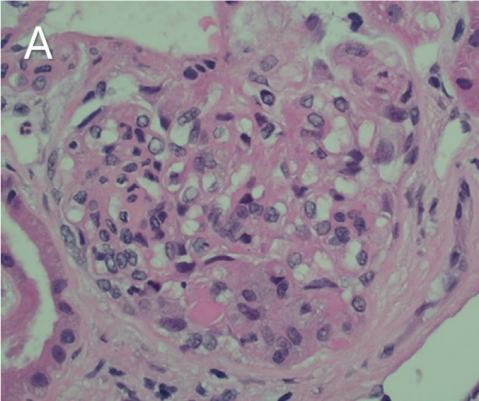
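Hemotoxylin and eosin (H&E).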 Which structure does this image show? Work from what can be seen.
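Pseudothrombus. A rounded, homogeneous pink deposit sits in a capillary loop in the lower part of the glomerulus. The deposit contains no nuclei.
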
